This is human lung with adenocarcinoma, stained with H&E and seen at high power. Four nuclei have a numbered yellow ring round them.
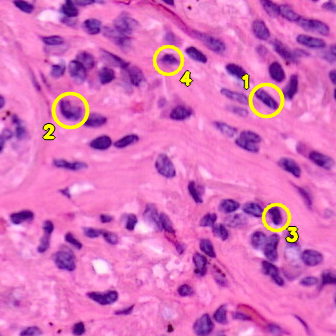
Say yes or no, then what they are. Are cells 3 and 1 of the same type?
No, cell 3 is a plasma cell and cell 1 is a lymphocyte.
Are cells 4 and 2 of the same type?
Yes, both are lymphocytes.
